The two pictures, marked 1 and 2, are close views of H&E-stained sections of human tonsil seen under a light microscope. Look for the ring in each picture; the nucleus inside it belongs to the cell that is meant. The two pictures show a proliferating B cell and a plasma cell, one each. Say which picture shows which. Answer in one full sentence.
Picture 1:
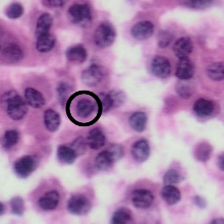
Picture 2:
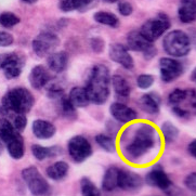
Picture 1 shows a plasma cell and picture 2 shows a proliferating B cell.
